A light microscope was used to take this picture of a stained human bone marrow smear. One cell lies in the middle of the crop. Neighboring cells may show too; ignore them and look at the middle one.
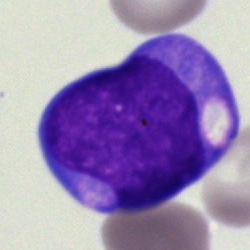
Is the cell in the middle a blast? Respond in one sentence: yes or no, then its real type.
Yes, centred in the crop is a blast.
